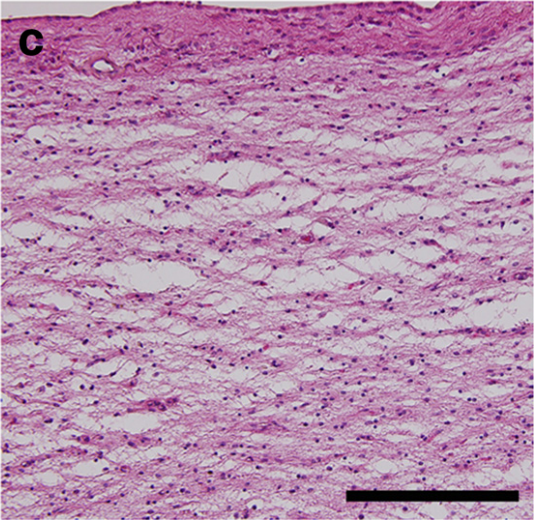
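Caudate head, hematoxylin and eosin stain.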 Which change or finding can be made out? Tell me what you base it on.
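Tissue rarefarction. Many clear empty spaces open up within the pink fibrillary tissue. The tissue looks loose and spongy rather than compact.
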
